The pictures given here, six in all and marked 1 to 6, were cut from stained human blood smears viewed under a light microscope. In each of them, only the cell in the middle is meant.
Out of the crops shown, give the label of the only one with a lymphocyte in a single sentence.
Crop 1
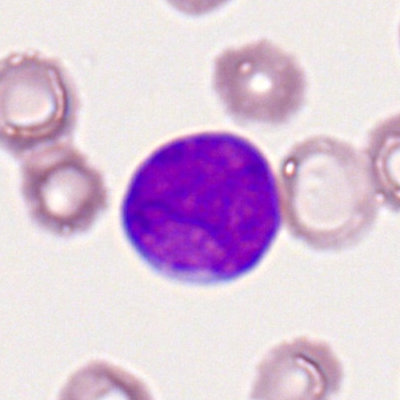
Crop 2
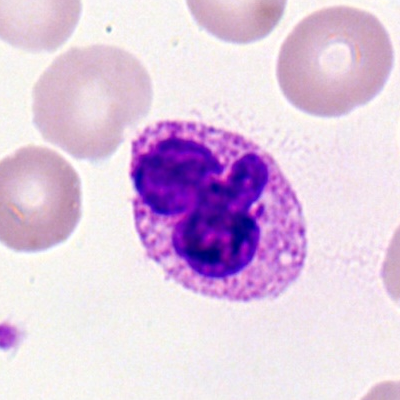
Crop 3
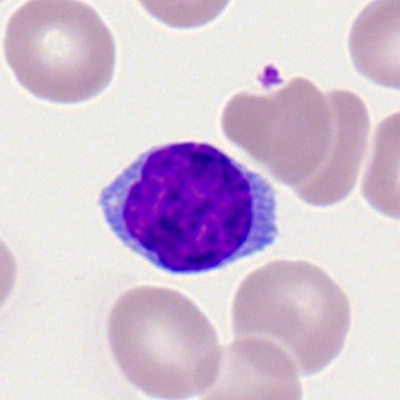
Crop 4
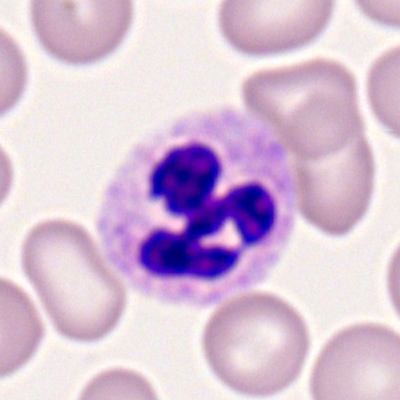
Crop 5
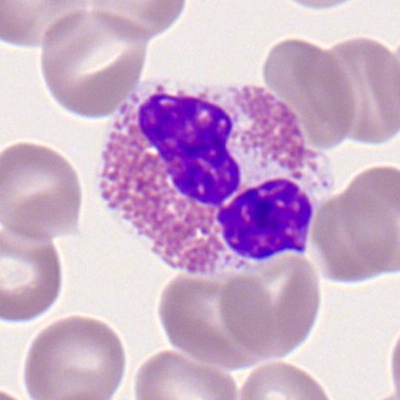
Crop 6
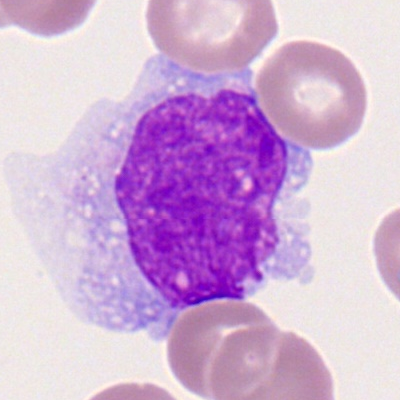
Of the labeled crops, the one with a lymphocyte is crop 3.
